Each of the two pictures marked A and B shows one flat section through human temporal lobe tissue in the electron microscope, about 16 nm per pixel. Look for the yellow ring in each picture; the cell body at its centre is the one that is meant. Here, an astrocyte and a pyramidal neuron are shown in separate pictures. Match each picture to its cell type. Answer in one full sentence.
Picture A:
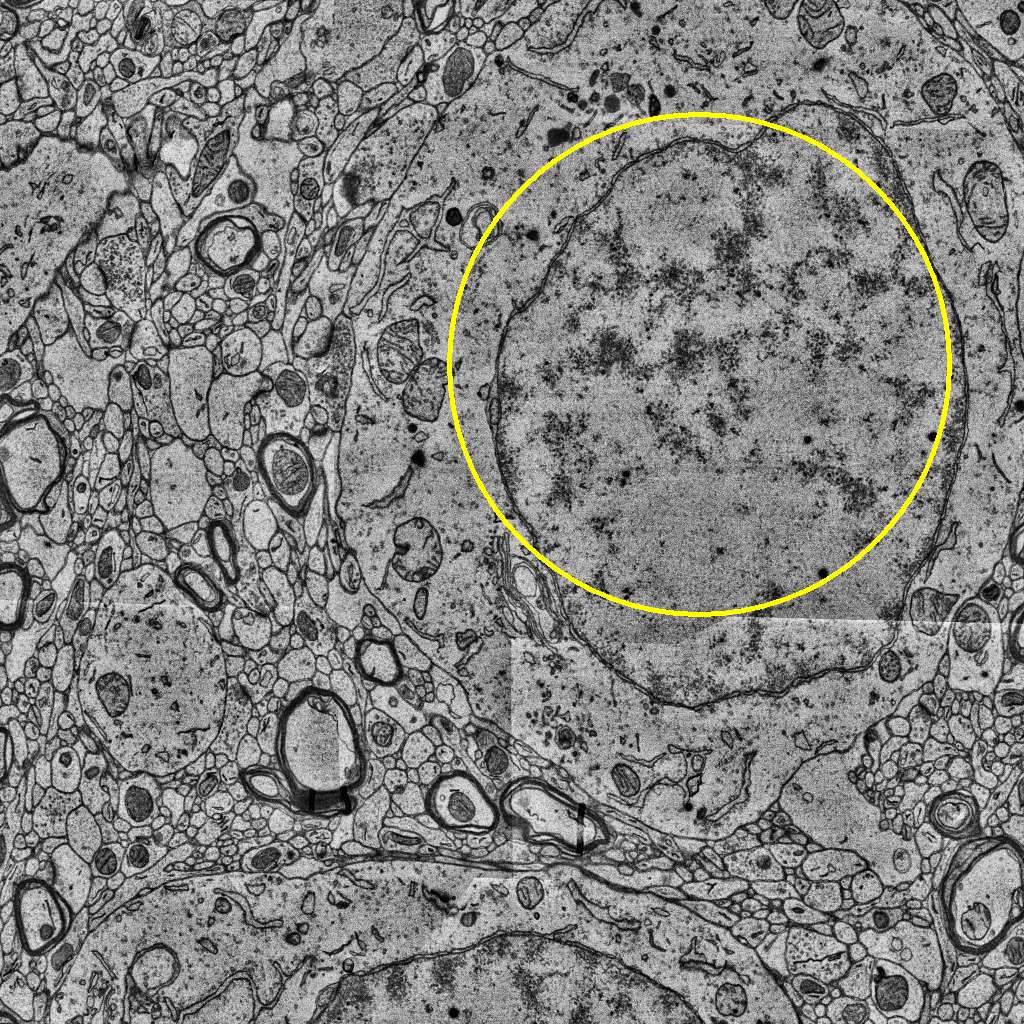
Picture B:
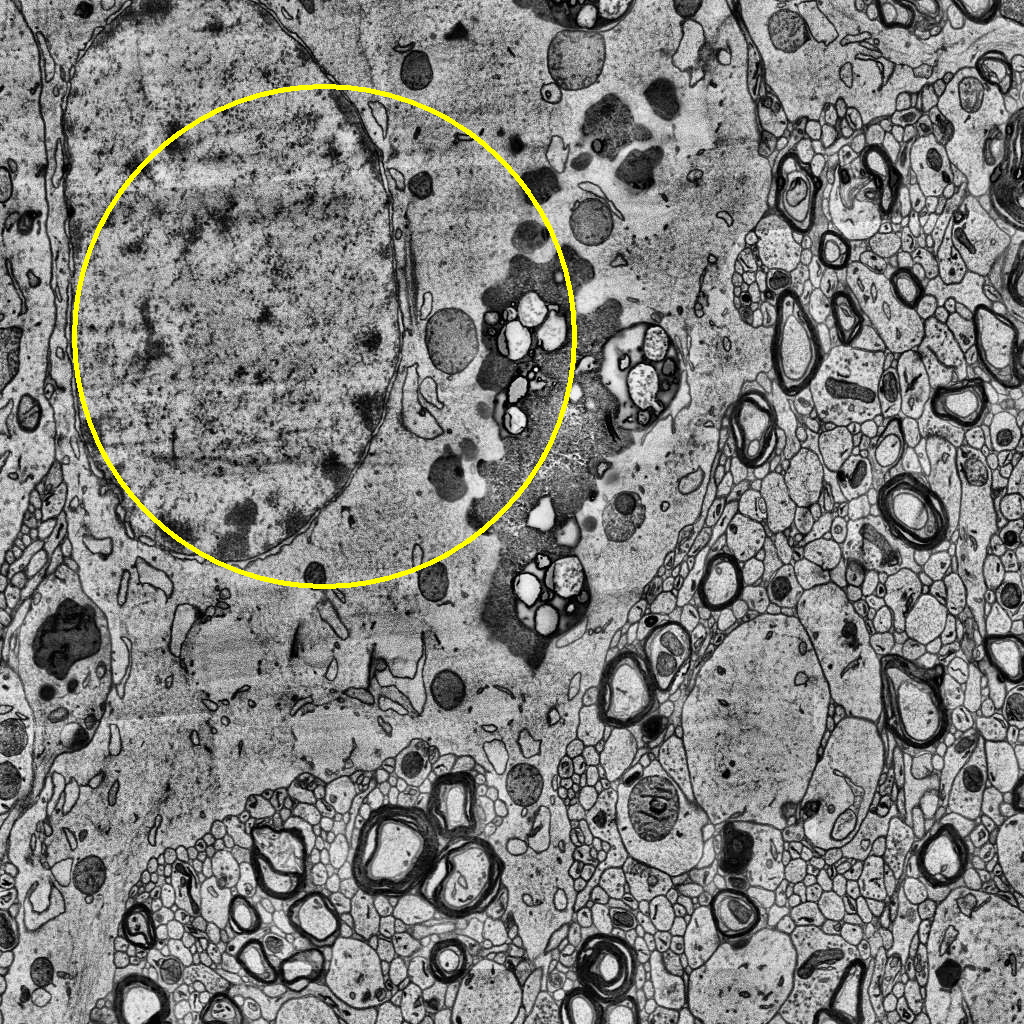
Picture A is of a pyramidal neuron, and picture B is of an astrocyte.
